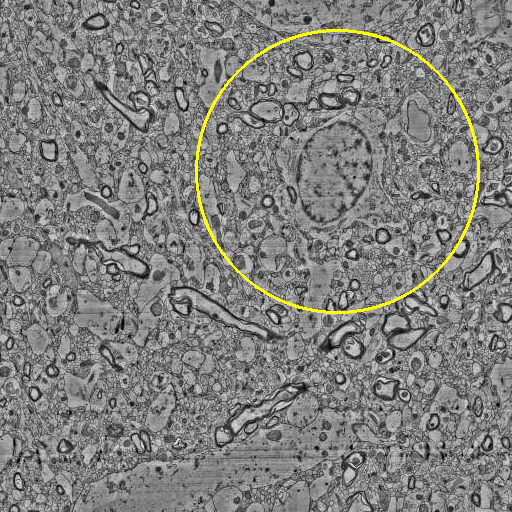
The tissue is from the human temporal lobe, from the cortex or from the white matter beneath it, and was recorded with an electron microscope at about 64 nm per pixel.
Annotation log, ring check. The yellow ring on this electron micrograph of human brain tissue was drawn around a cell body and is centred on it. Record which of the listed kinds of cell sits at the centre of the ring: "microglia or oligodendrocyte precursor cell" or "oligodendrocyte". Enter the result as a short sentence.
The cell at the centre of the ring is a microglial cell or oligodendrocyte precursor cell.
